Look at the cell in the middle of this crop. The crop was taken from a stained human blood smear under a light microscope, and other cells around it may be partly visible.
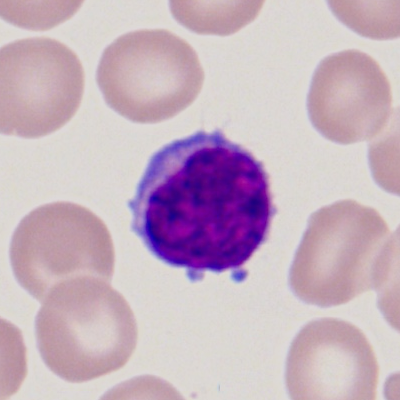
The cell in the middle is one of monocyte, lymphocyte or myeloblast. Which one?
lymphocyte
